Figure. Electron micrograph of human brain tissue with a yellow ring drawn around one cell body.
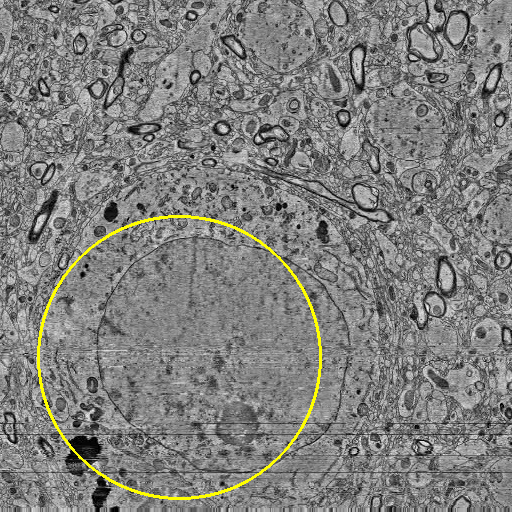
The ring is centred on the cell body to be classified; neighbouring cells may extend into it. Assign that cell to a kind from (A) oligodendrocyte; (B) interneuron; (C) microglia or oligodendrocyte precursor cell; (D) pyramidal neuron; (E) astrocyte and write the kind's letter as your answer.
D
